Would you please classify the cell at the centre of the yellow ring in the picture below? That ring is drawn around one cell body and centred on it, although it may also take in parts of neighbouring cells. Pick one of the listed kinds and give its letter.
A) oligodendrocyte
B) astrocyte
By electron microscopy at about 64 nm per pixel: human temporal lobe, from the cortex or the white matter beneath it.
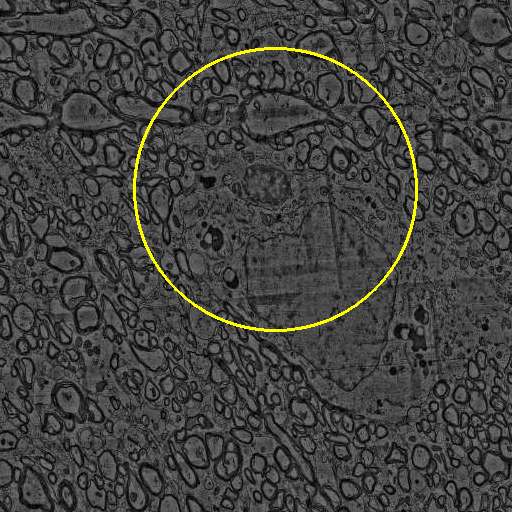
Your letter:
A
